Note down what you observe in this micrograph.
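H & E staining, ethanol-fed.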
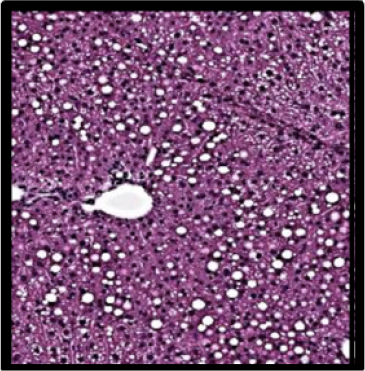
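This is liver tissue in which the polygonal liver cells, with pink cytoplasm and round dark purple nuclei, fill the field in sheets. The vacuoles are spread across most of the field, giving the tissue a bubbly appearance. Toward the left edge a larger white, irregular space lined by a thin wall marks a blood vessel cut in cross-section. A faint darker band crosses the upper right part of the field.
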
